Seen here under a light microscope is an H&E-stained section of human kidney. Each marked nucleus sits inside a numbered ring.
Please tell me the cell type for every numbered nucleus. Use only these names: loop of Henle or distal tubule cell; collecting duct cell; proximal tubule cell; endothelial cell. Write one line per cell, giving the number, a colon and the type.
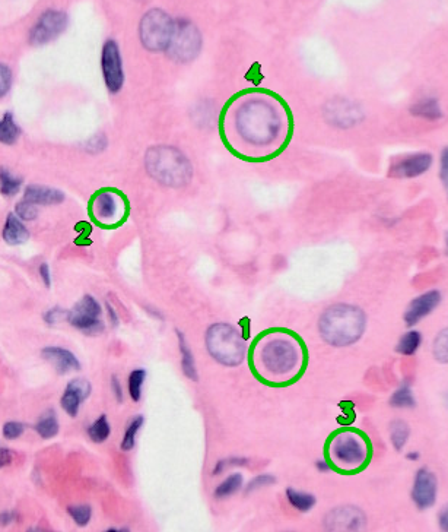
1: proximal tubule cell
2: endothelial cell
3: endothelial cell
4: proximal tubule cell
